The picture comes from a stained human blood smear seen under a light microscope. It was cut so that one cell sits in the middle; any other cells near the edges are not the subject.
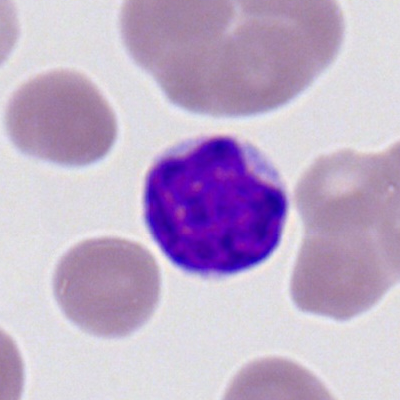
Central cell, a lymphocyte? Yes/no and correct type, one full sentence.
Yes, this crop has a lymphocyte at its centre.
